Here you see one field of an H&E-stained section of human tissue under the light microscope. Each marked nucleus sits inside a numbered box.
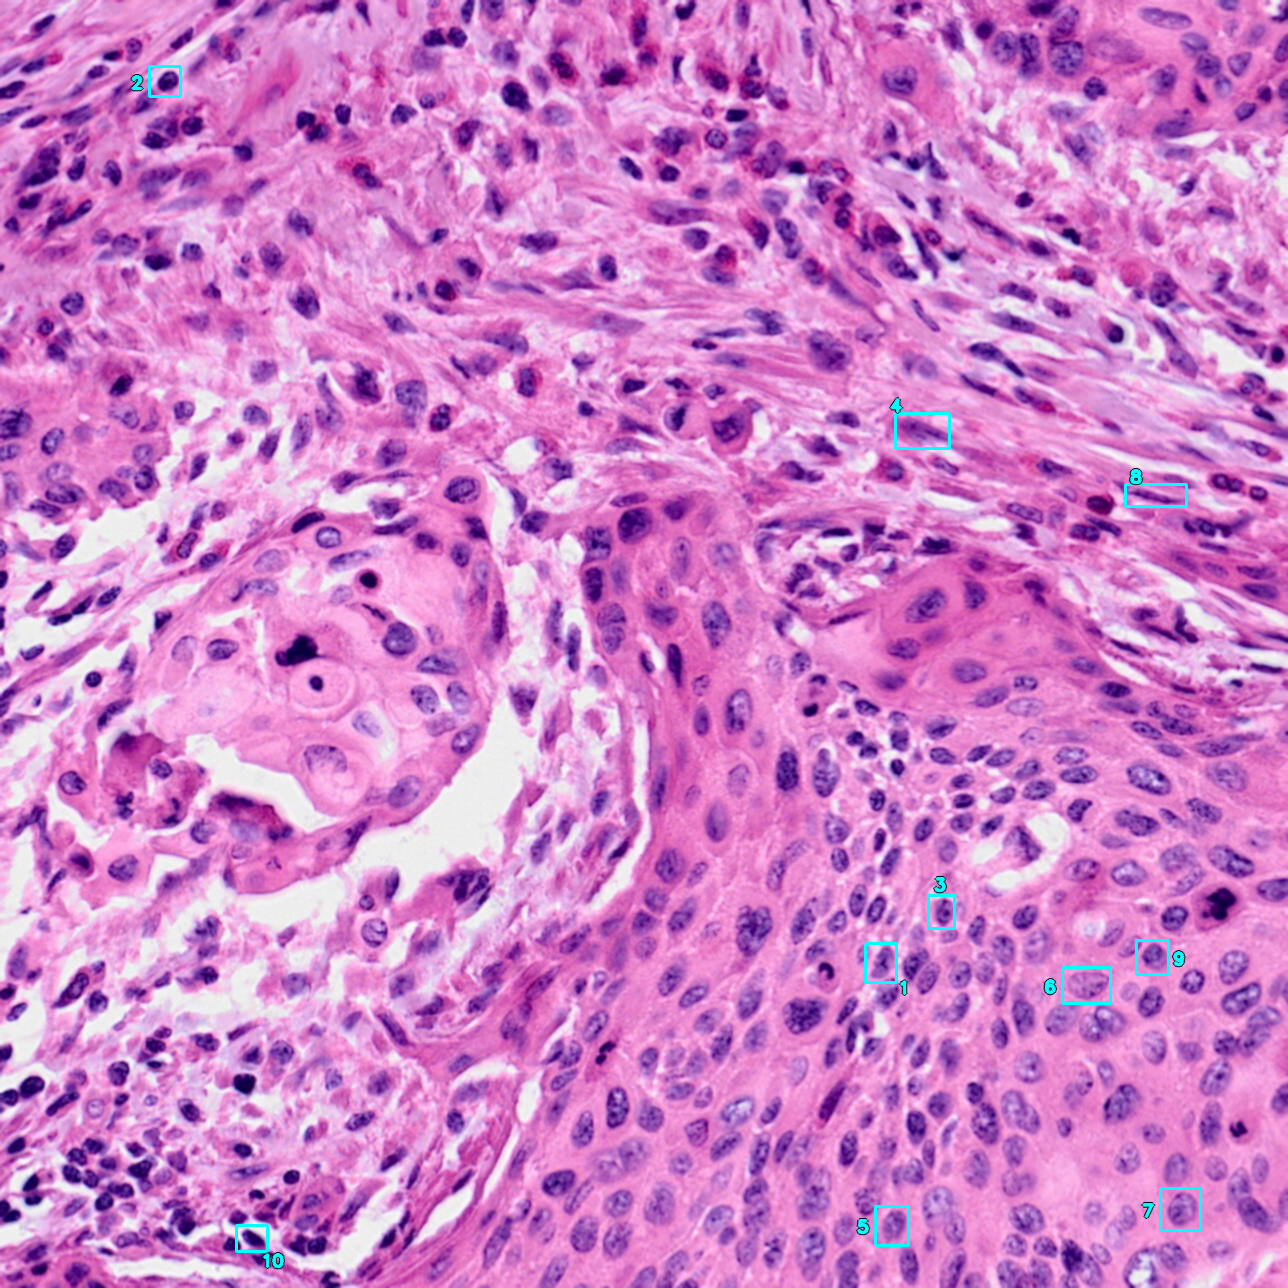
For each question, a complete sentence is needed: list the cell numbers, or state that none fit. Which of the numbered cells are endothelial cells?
The numbered set holds no endothelial cells whatsoever.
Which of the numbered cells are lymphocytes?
The cells to which the numbers 2 and 10 refer are lymphocytes.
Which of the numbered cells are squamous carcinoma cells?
Into the category of squamous carcinoma cells fall the cells numbered 1, 3, 5, 6, 7 and 9.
